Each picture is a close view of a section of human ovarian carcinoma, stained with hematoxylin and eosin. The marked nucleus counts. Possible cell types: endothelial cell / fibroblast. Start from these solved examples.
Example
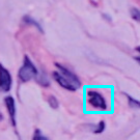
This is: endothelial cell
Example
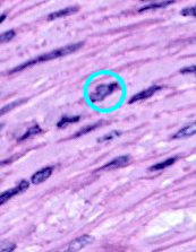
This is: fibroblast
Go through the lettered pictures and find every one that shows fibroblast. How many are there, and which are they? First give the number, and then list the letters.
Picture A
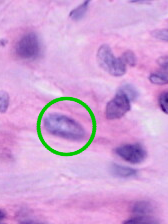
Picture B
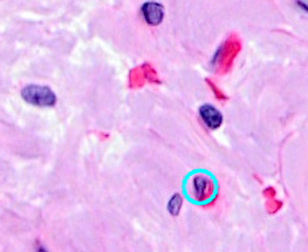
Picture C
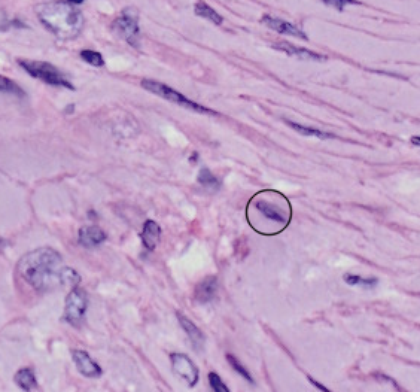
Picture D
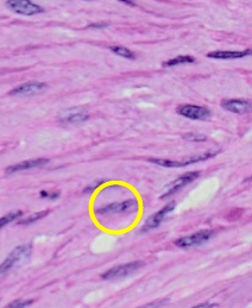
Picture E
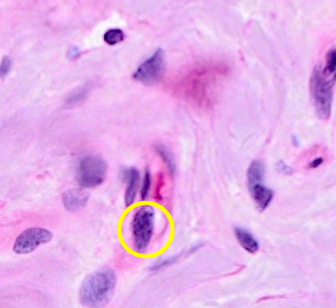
Count: 2 (C, D)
